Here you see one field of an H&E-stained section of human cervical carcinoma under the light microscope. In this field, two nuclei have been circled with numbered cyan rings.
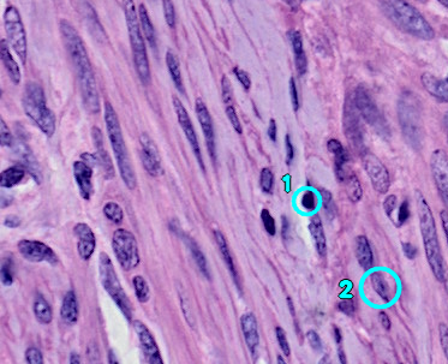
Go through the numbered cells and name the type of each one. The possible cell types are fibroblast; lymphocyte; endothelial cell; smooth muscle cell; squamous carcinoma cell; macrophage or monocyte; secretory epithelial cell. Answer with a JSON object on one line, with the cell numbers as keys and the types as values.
{"1": "lymphocyte", "2": "smooth muscle cell"}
